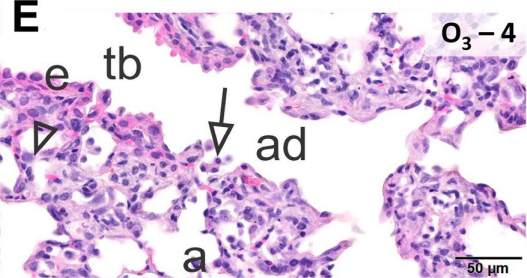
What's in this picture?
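This is lung at the junction where a terminal bronchiole opens into an alveolar duct, with the surrounding alveolar parenchyma. The alveolar walls next to the airway are greatly thickened and crowded with purple nuclei, so that many airspaces are narrowed or filled in. A few rounded cells without dark particles lie free in the alveolar duct, alveolar macrophages without particles.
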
